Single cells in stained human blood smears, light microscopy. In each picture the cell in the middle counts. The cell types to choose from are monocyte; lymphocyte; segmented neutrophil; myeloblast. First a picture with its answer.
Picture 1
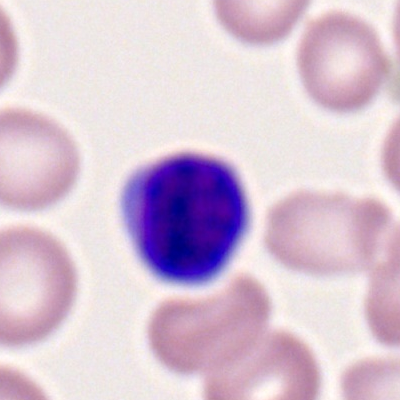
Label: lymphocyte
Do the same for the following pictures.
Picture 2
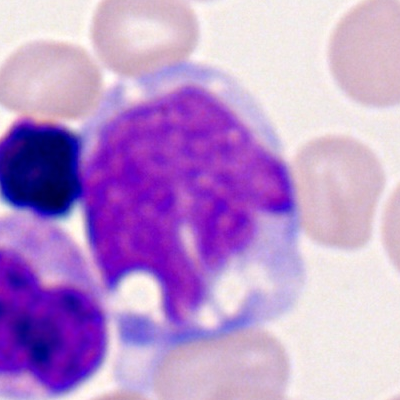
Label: monocyte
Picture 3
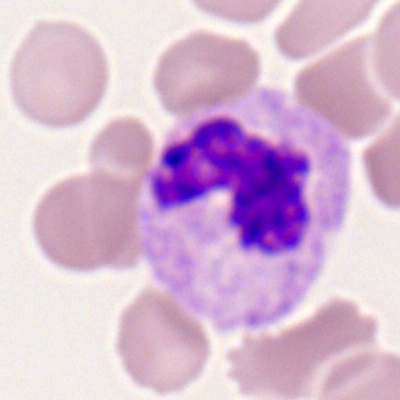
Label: segmented neutrophil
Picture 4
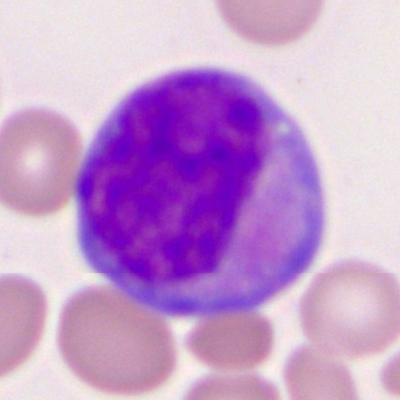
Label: myeloblast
